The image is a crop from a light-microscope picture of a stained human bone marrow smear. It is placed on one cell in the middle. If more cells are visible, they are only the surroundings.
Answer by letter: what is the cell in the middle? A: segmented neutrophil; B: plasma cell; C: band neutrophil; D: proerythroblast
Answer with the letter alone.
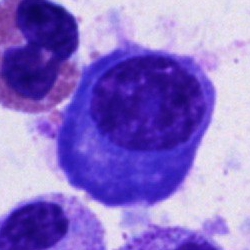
B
